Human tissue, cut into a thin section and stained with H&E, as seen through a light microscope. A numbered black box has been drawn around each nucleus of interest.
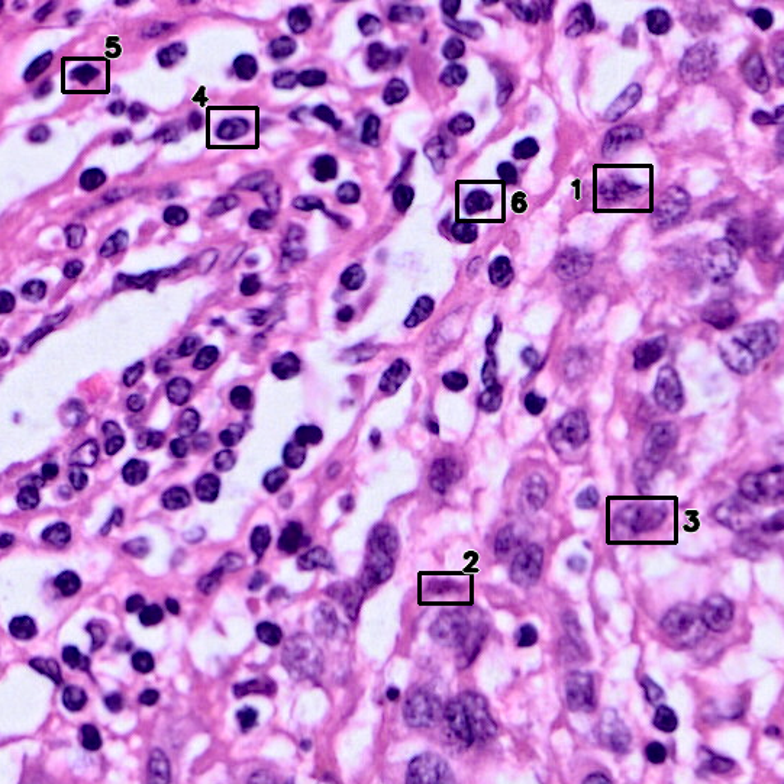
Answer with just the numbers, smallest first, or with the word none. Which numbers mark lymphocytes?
4, 5, 6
